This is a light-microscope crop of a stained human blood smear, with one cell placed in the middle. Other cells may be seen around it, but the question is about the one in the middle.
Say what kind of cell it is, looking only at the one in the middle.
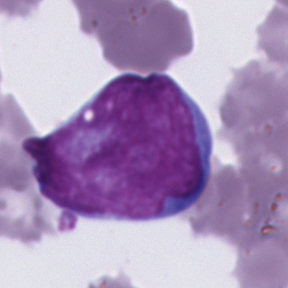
myeloblast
